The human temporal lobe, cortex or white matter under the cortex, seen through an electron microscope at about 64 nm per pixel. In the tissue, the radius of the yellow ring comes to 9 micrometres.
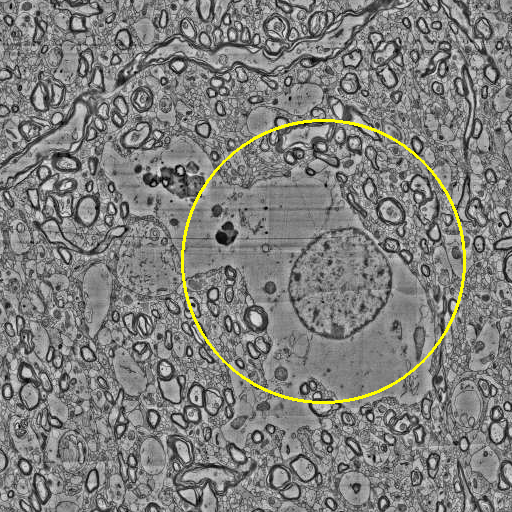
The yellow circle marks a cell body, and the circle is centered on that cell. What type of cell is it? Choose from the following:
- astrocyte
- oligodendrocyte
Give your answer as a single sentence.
This cell body belongs to an astrocyte.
